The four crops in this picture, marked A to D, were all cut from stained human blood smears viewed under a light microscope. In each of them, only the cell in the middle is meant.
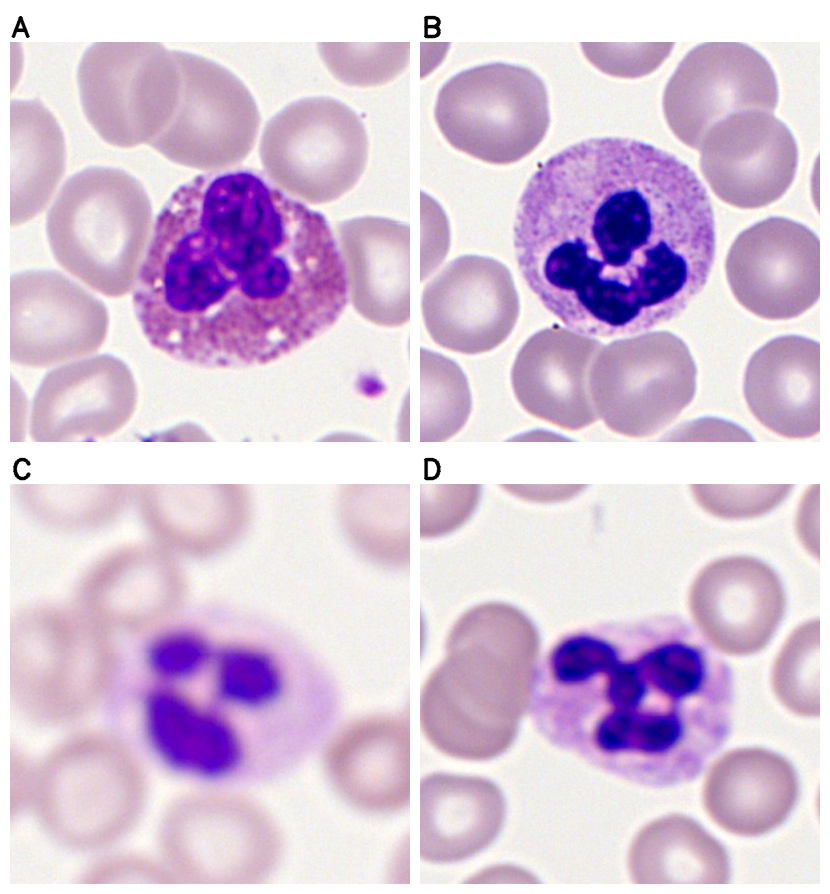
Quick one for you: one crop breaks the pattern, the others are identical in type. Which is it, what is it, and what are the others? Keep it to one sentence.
The exception in this group is crop A, an eosinophil, and the others are all segmented neutrophils.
